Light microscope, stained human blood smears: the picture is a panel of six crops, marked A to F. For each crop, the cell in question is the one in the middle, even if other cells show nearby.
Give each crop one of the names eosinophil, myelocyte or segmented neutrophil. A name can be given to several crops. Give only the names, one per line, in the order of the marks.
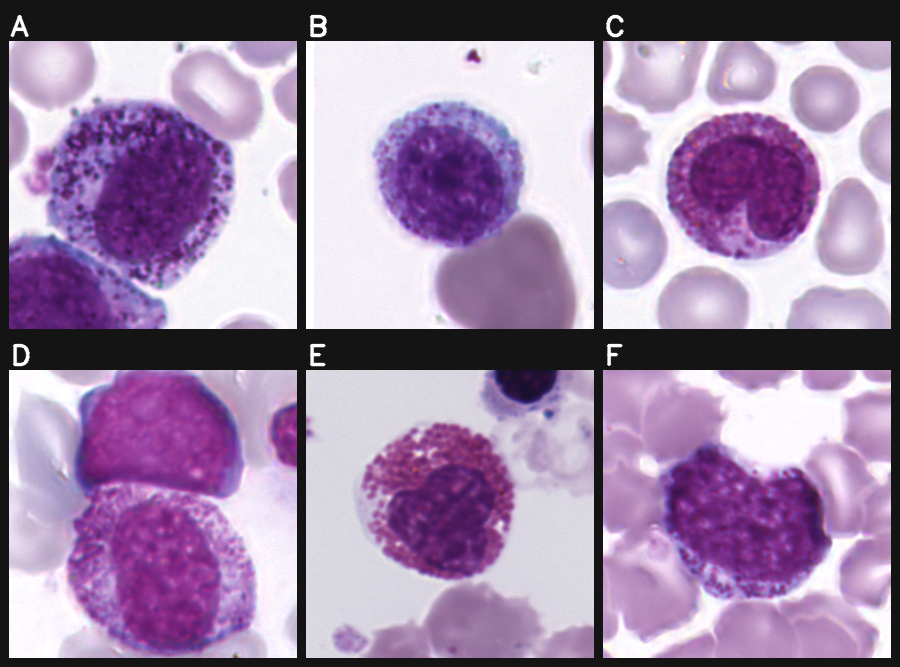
myelocyte
myelocyte
eosinophil
myelocyte
eosinophil
myelocyte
